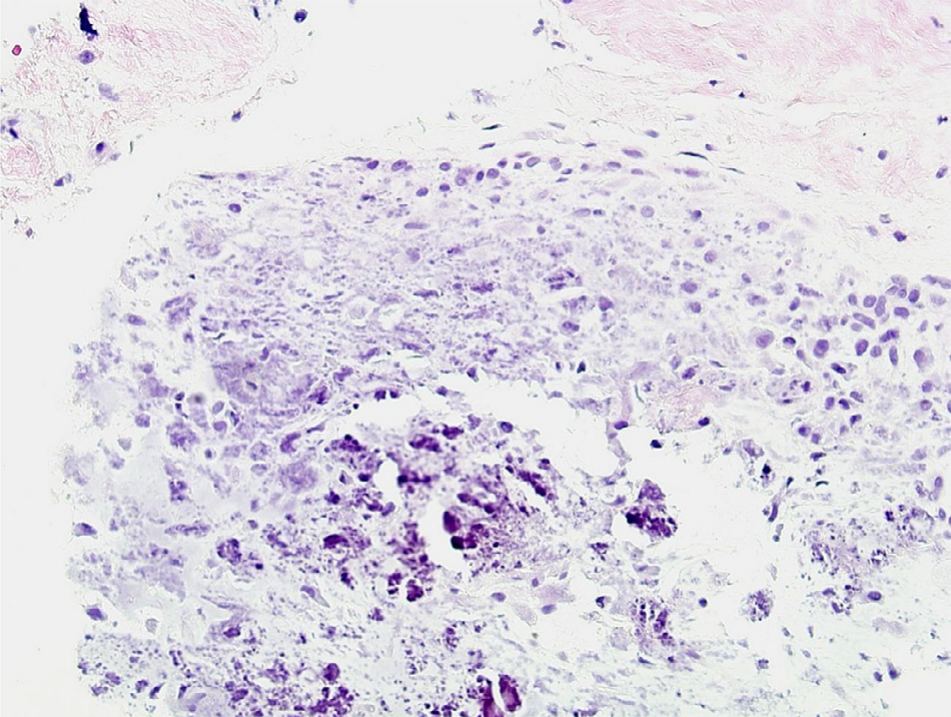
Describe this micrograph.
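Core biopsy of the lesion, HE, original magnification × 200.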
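The fragment shows a cartilage-like proliferation in a pale bluish-purple matrix, with pale pink, sparsely cellular fibrous connective tissue along the top. Rounded and oval cells with darker nuclei are scattered through the matrix, and on the right they are more crowded, with some nuclei larger and darker than others. In the middle and lower part, coarse dark purple granular deposits of calcification form speckled clumps within the matrix. The upper pink tissue has only a few small, elongated nuclei.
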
